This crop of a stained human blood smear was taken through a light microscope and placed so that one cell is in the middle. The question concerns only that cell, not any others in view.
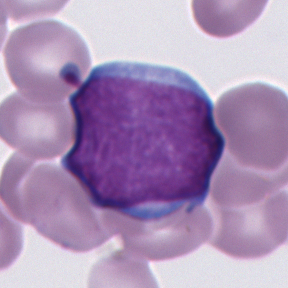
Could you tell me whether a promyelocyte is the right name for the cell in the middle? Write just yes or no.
no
